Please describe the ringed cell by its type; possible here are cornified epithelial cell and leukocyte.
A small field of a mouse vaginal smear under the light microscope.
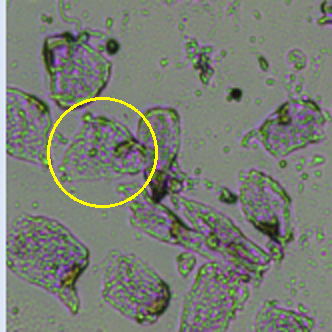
The yellow ring marks a cornified epithelial cell.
